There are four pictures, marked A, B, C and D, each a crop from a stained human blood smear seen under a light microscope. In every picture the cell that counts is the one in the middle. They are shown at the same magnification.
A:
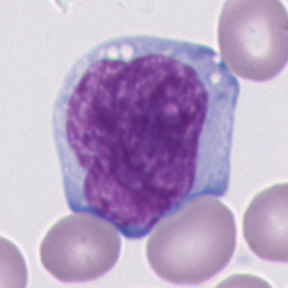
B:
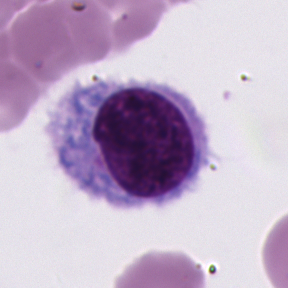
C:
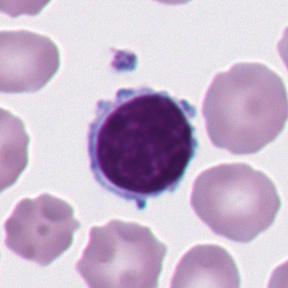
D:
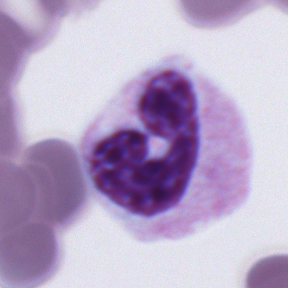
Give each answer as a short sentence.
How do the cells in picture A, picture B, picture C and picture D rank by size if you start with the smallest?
From the smallest up, the order is C, B, D, A.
